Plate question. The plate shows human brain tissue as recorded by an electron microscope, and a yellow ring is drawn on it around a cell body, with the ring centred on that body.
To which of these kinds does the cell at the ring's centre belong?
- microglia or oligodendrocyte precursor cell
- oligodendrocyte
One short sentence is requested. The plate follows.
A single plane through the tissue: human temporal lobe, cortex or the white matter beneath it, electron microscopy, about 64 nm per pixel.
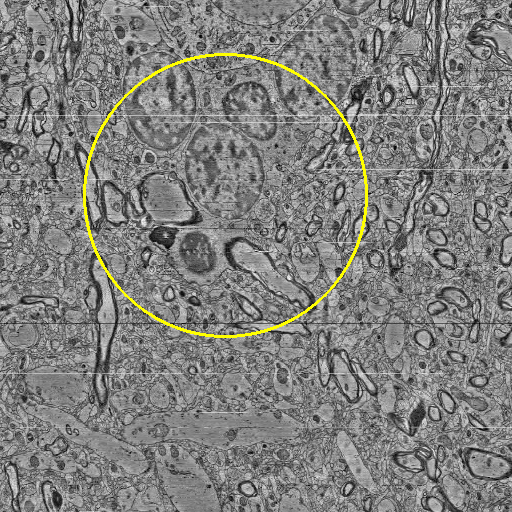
The cell at the ring's centre is an oligodendrocyte.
